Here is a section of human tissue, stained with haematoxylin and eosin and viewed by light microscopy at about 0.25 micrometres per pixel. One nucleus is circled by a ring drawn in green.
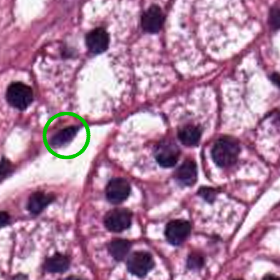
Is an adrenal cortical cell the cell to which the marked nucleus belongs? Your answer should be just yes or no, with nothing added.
no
